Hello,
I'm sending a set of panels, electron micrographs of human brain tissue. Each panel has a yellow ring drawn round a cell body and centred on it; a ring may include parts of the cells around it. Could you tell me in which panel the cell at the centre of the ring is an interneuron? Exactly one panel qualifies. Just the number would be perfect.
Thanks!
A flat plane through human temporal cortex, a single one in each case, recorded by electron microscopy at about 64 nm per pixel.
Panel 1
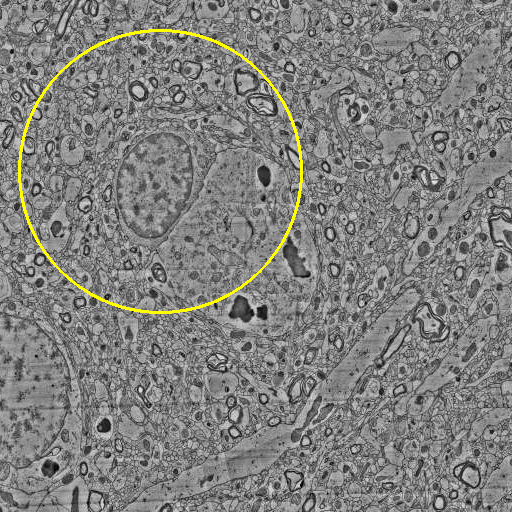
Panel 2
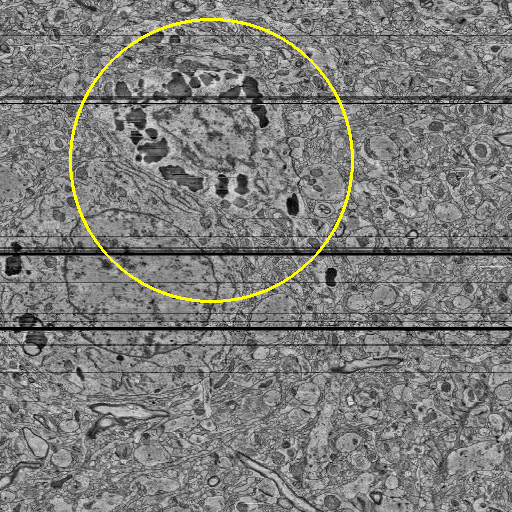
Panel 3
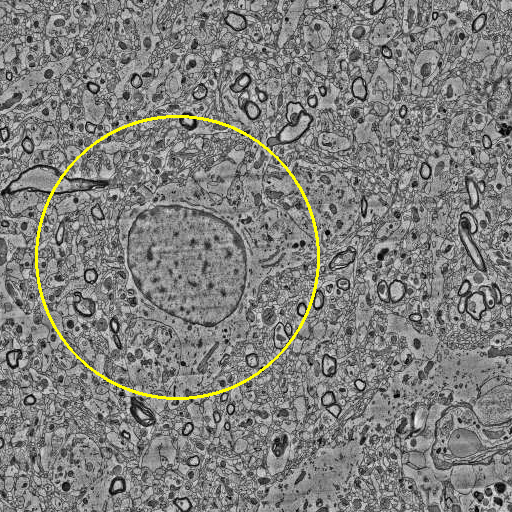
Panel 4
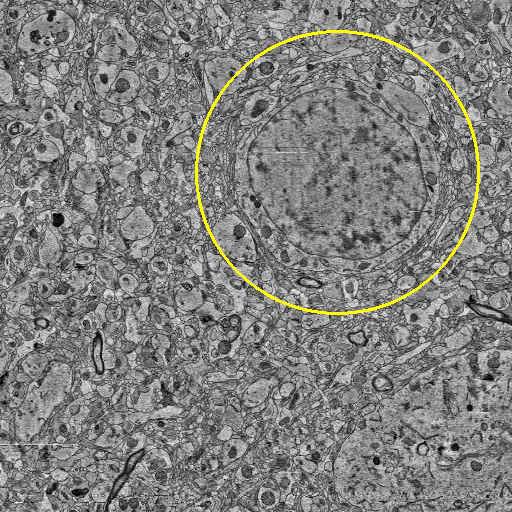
2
